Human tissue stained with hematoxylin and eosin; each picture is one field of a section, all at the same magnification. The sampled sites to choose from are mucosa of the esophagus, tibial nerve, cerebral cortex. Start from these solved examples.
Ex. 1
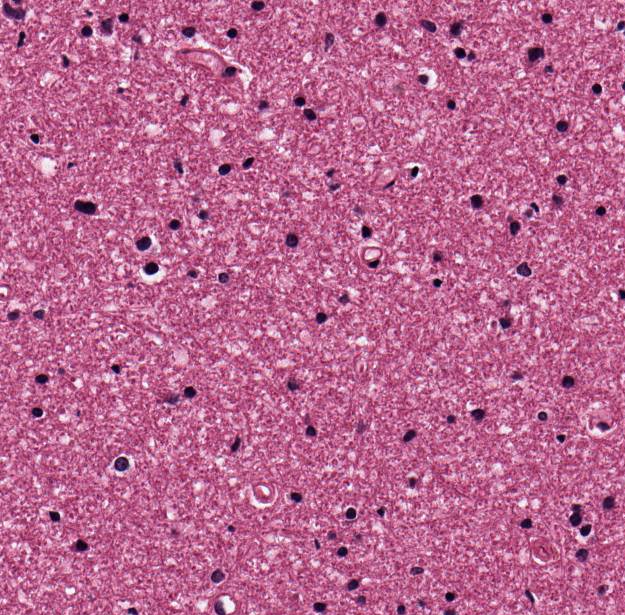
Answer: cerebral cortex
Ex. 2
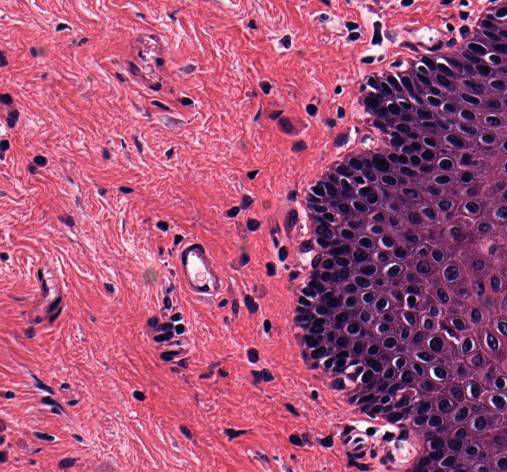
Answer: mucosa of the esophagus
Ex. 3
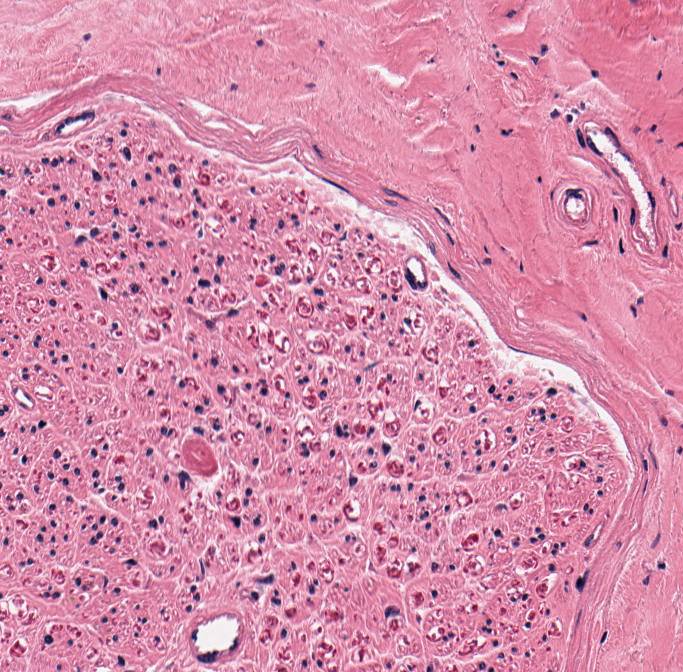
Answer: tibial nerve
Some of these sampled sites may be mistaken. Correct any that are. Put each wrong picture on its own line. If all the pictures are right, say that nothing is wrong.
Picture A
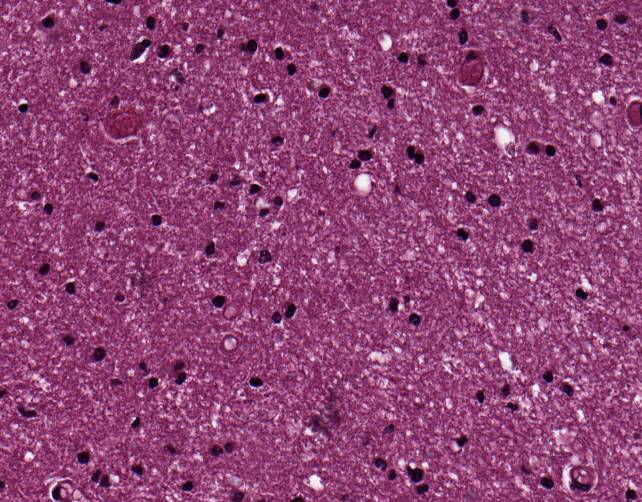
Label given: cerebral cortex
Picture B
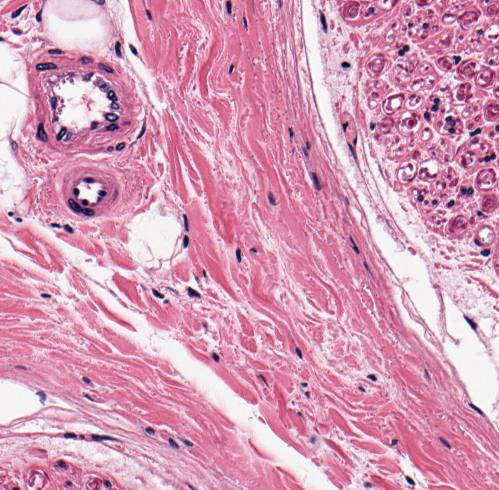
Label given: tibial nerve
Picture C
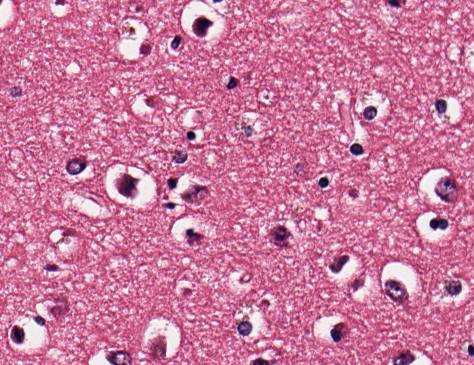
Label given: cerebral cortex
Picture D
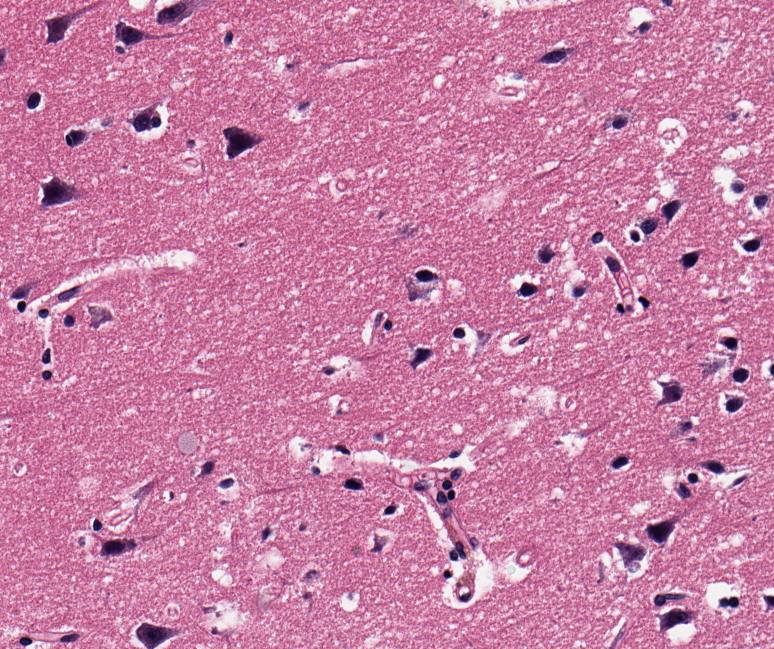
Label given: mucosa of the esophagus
D: not mucosa of the esophagus but cerebral cortex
